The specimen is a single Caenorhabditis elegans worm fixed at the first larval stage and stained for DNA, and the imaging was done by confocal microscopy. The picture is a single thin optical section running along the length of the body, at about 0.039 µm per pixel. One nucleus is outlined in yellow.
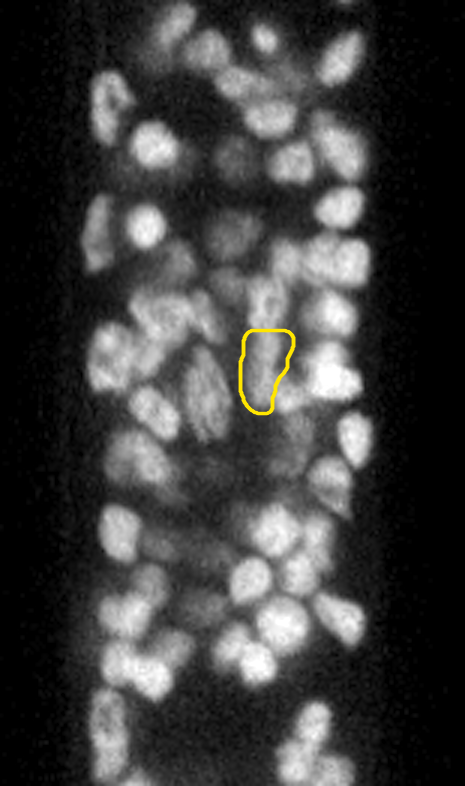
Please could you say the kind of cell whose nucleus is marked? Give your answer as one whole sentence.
This is the nucleus of a pharyngeal marginal cell.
